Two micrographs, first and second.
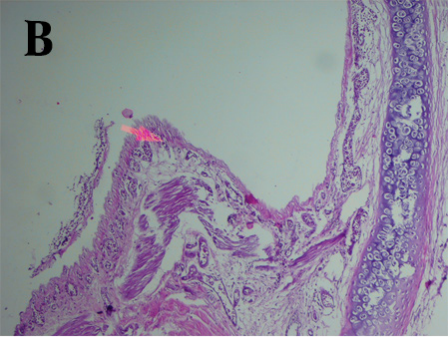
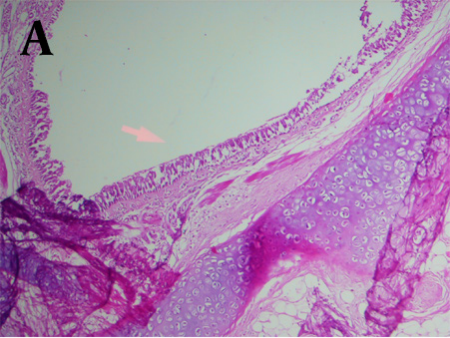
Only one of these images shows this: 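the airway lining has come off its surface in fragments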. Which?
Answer: The first image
